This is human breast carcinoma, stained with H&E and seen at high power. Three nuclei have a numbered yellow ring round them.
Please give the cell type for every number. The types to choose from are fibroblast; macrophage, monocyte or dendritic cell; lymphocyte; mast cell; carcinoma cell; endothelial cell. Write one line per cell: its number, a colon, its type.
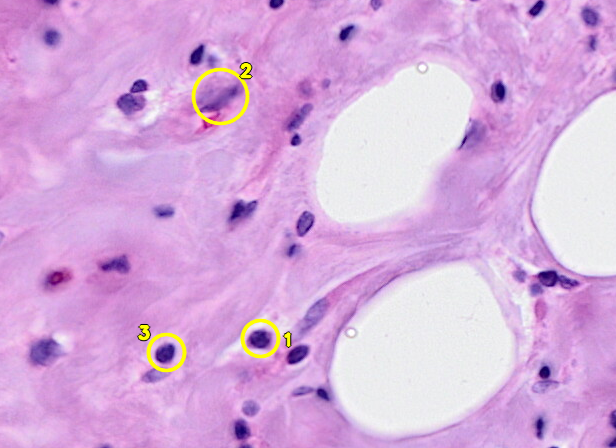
1: lymphocyte
2: endothelial cell
3: lymphocyte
